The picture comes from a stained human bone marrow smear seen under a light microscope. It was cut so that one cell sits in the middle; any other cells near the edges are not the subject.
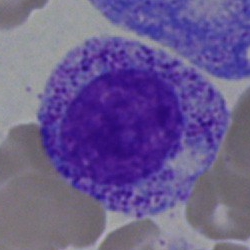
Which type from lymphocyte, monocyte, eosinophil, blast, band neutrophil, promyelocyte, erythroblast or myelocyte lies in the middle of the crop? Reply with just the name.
myelocyte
